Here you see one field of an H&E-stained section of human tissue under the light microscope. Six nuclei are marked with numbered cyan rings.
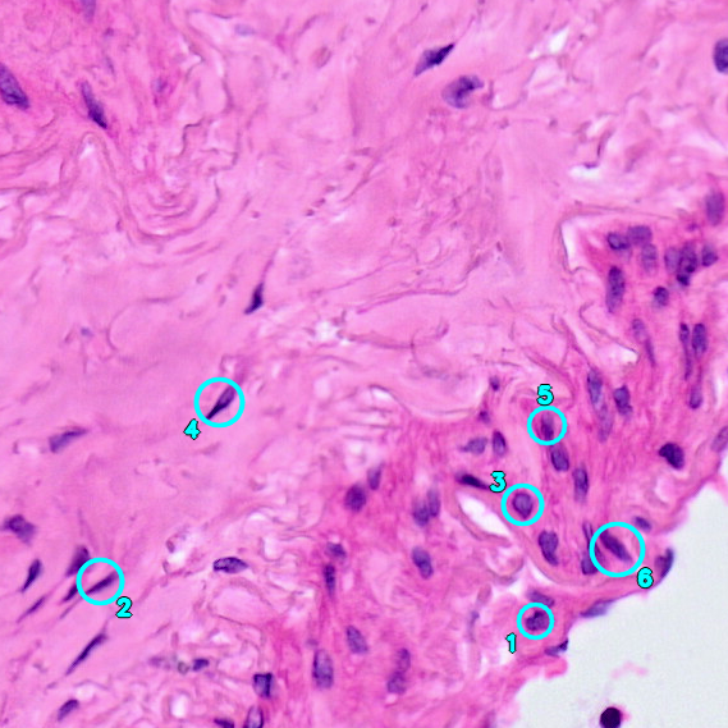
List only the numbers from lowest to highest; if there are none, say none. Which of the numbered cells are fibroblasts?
2, 4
